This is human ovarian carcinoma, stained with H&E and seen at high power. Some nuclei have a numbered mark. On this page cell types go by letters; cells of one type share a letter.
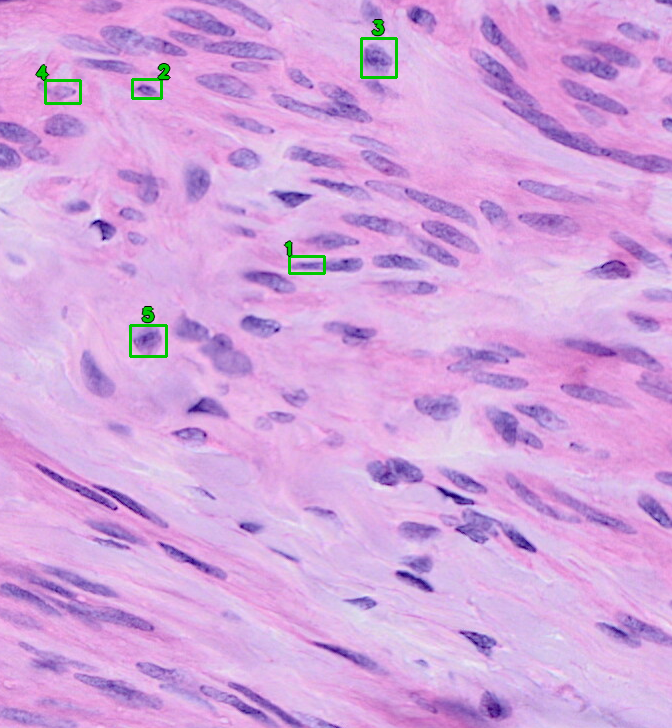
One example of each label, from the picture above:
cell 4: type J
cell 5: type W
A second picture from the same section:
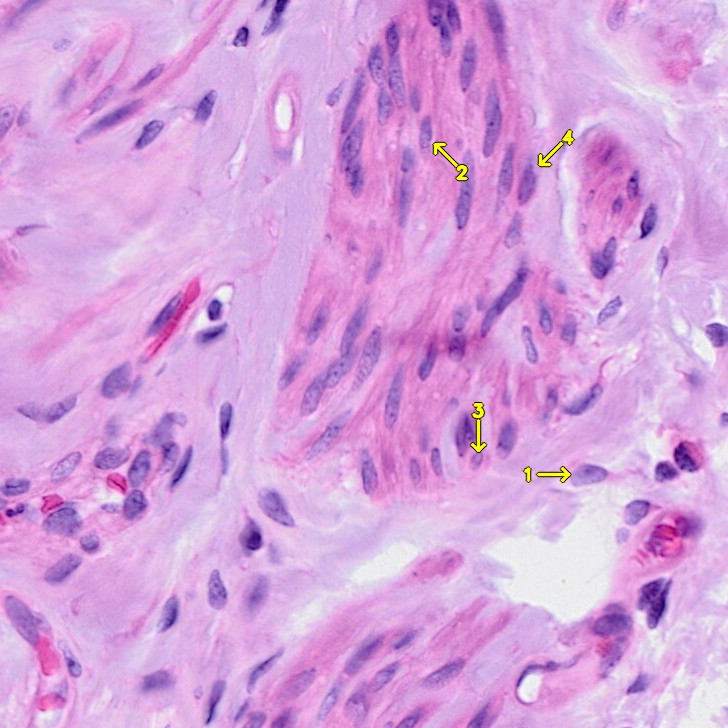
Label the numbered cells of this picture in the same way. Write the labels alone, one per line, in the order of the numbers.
type W
type J
type J
type J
